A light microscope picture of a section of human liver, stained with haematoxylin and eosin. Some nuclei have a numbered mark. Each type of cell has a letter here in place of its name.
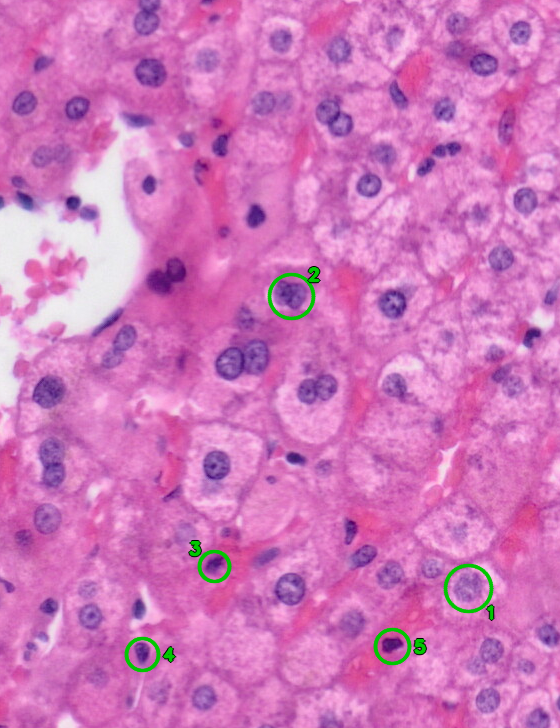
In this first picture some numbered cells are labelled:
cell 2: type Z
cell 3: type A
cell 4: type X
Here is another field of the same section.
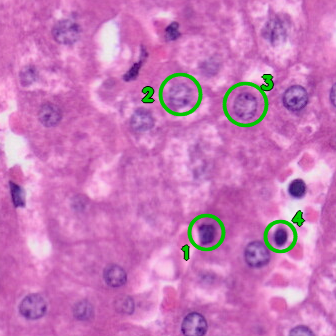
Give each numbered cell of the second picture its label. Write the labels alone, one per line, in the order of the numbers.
type A
type Z
type Z
type X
